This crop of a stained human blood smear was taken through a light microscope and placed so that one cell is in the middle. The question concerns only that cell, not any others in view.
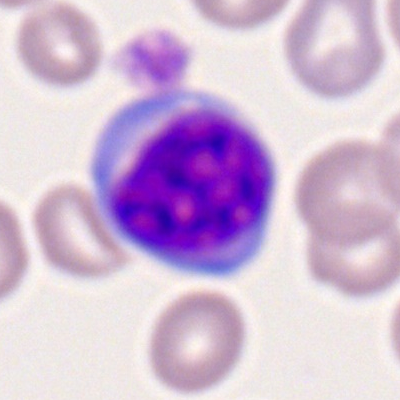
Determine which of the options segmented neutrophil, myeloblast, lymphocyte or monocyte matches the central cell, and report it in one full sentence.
The cell of interest, in the center, is a lymphocyte.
